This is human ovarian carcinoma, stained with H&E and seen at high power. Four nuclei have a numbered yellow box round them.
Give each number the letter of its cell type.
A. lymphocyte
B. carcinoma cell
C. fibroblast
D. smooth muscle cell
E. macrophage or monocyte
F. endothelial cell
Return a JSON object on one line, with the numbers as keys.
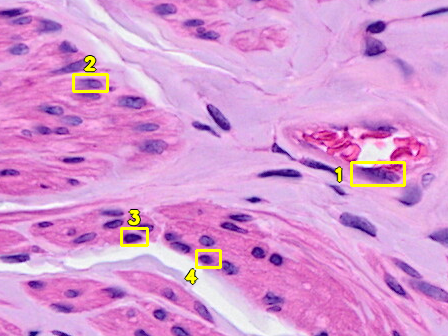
{"1": "F", "2": "D", "3": "D", "4": "D"}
